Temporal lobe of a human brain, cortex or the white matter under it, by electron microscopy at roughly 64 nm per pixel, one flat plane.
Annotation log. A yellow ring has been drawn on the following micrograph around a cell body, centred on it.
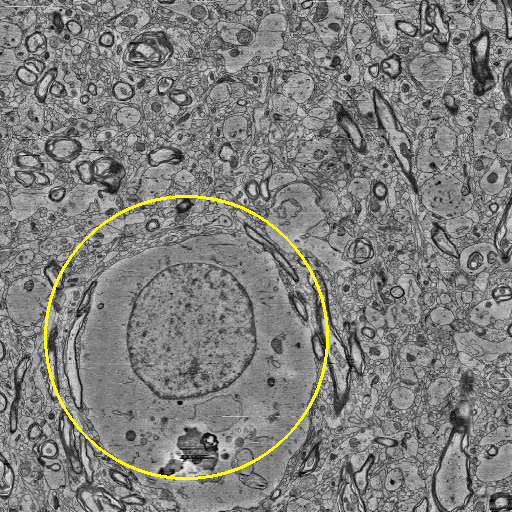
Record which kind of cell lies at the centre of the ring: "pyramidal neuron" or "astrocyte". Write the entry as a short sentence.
The cell the ring is centred on is an astrocyte.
